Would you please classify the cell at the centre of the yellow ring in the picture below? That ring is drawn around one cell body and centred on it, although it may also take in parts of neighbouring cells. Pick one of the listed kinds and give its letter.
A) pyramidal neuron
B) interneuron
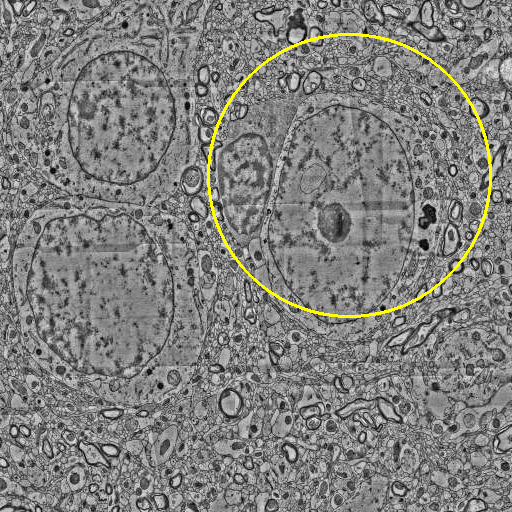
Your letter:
A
